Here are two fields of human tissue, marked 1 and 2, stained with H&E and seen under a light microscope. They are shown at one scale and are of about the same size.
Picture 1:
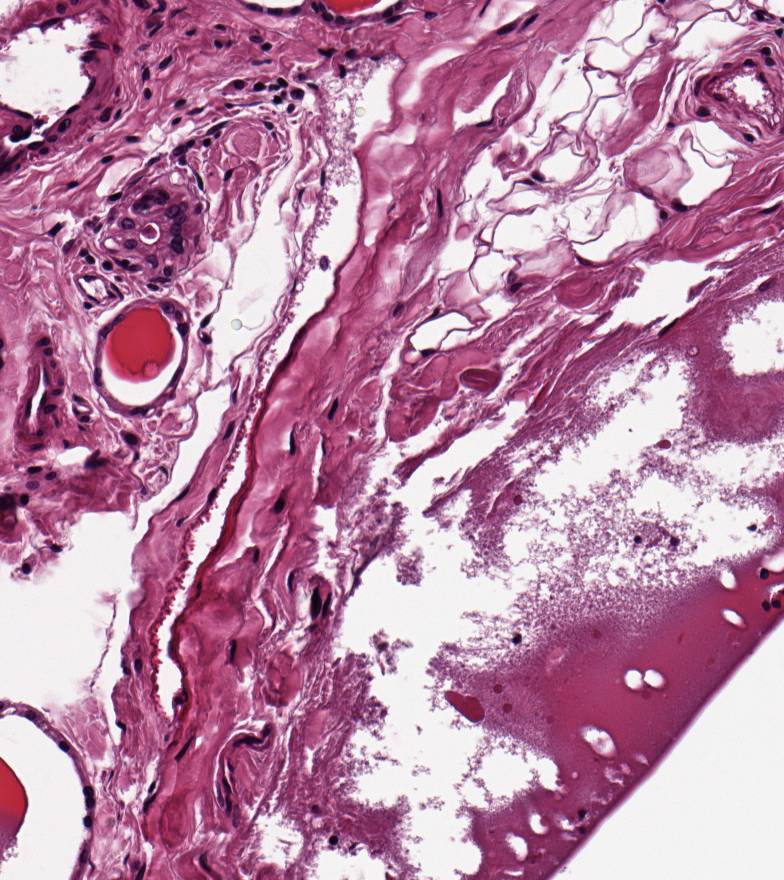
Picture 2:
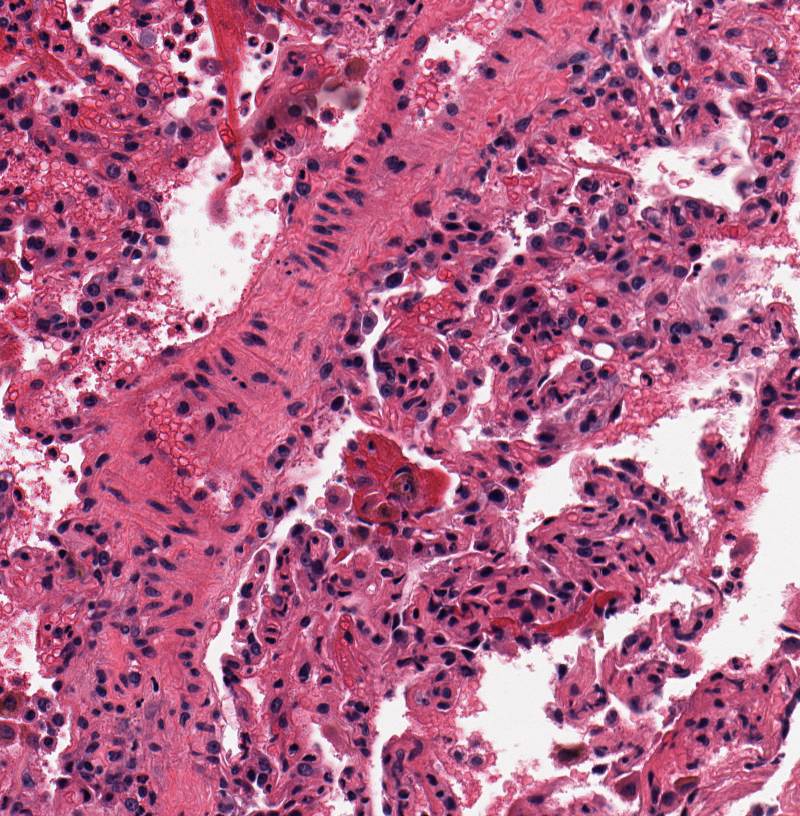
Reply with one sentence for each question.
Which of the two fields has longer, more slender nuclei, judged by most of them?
Longer, more slender nuclei lie in picture 1.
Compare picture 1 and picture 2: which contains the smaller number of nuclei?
Fewer nuclei lie in picture 1 than in picture 2.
